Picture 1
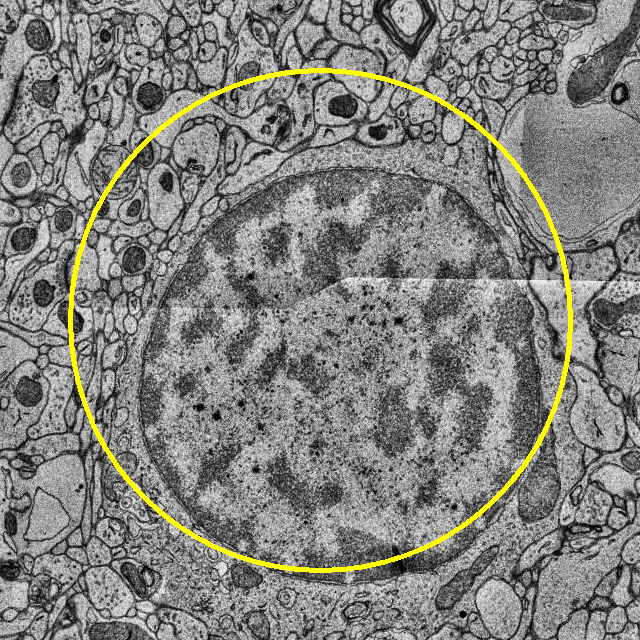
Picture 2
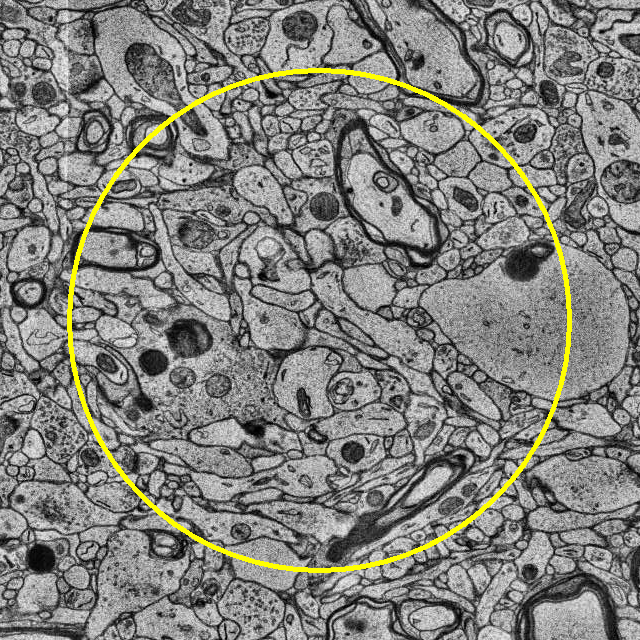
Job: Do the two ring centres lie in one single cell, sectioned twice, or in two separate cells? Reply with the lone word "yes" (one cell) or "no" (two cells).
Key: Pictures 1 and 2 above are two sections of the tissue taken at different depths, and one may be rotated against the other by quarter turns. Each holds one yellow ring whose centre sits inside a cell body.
yes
